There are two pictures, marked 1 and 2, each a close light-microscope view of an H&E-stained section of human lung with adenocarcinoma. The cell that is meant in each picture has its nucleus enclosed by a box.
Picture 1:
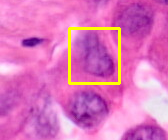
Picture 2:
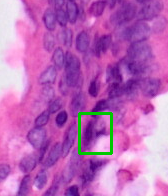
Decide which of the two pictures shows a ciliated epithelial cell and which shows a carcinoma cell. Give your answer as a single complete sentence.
In picture 1 the cell is a carcinoma cell; in picture 2, a ciliated epithelial cell.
